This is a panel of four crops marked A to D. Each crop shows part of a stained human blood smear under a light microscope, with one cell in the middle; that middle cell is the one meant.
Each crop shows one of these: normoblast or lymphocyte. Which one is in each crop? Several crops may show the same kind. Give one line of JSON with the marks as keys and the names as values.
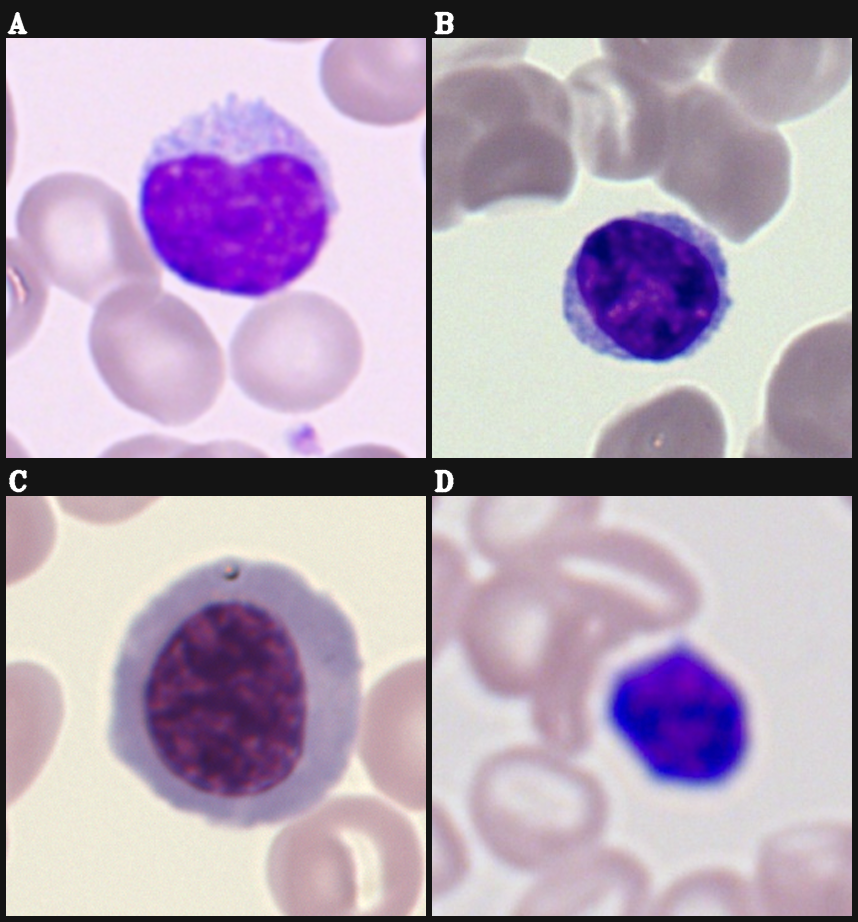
{"A": "lymphocyte", "B": "lymphocyte", "C": "normoblast", "D": "lymphocyte"}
